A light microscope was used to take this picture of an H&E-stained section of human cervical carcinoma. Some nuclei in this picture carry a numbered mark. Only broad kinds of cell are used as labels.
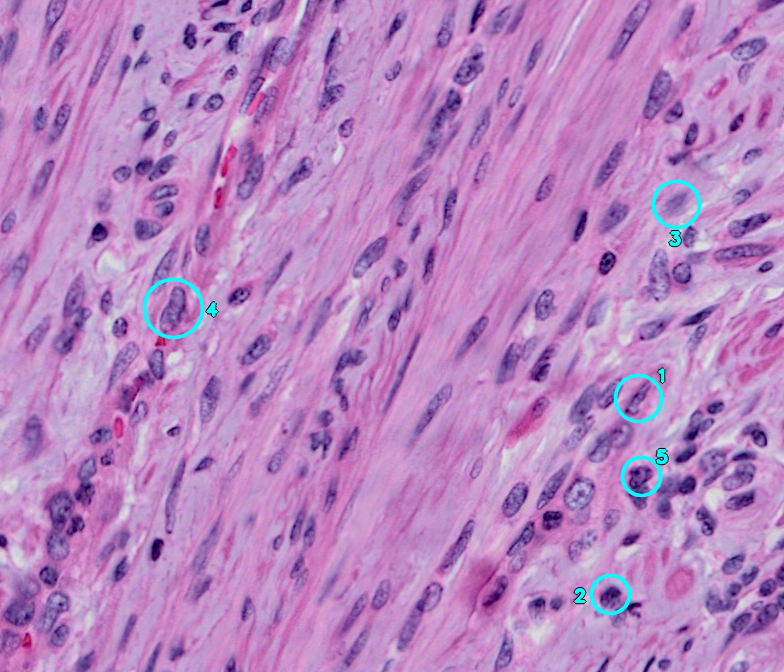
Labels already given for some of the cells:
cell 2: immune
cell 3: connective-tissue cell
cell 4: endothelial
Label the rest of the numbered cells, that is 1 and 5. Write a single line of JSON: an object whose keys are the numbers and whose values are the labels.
{"1": "endothelial", "5": "immune"}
